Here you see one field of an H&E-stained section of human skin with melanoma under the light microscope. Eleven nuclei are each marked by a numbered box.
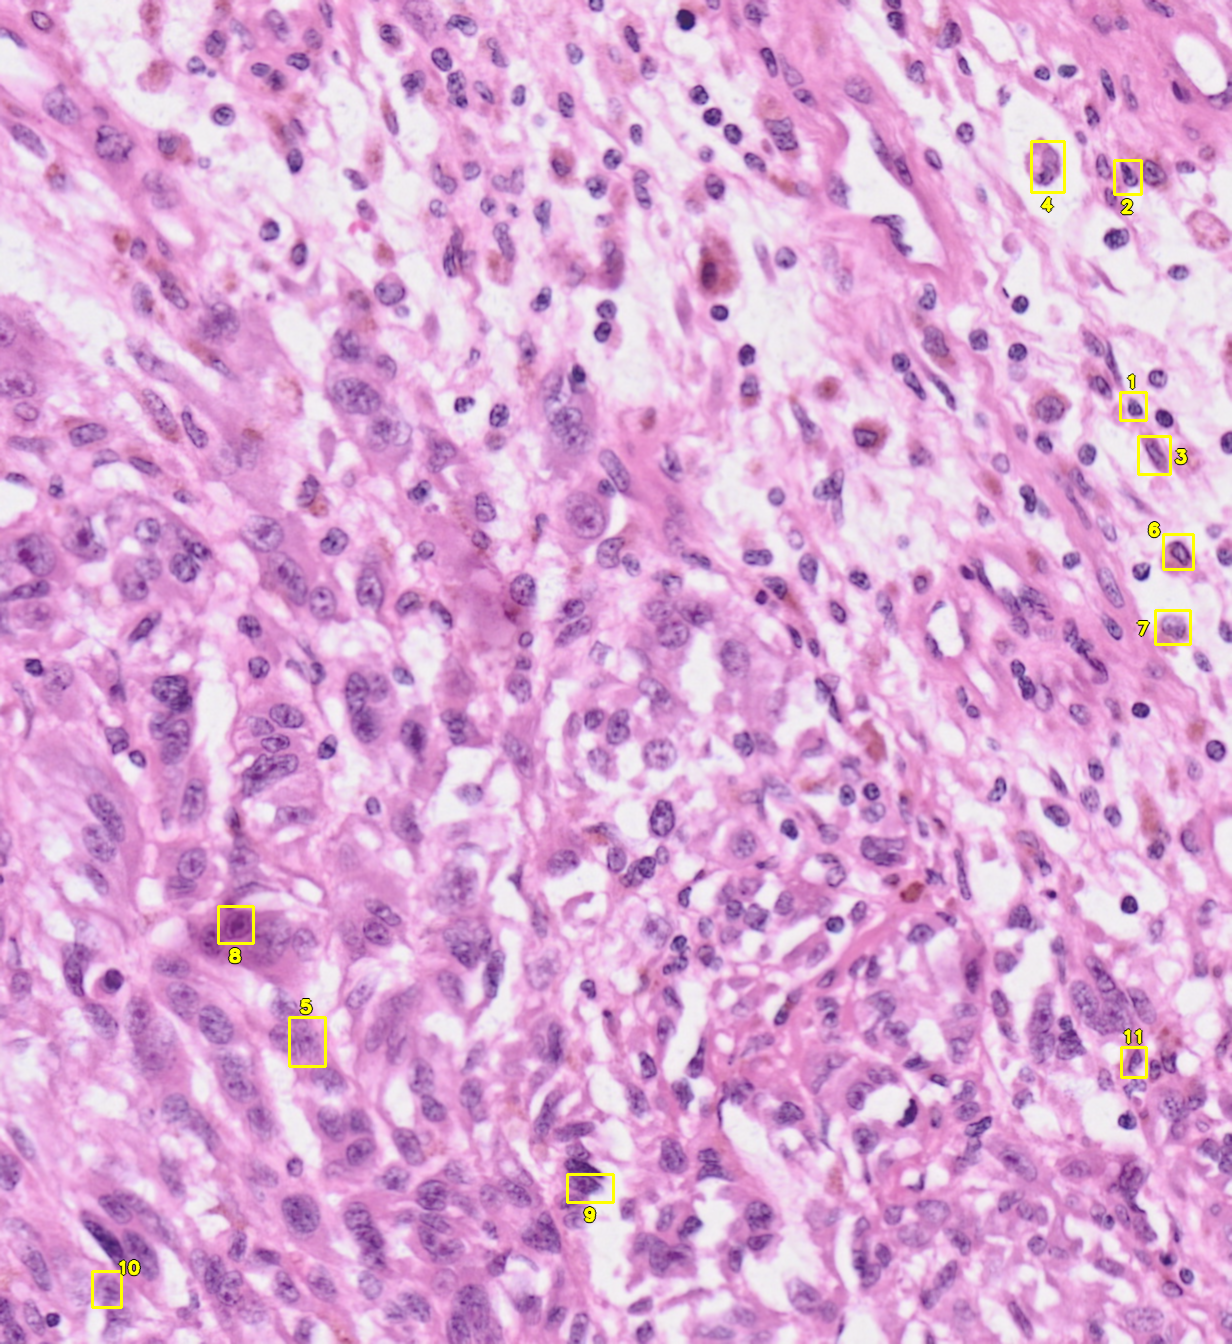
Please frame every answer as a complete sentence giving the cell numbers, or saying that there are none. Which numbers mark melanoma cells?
The cells marked by the numbers 5, 8, 9 and 10 are melanoma cells.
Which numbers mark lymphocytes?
The cells referred to by numbers 1 and 2 are lymphocytes.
